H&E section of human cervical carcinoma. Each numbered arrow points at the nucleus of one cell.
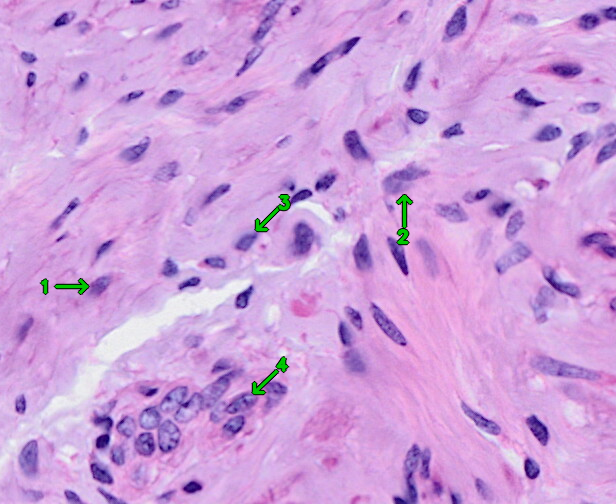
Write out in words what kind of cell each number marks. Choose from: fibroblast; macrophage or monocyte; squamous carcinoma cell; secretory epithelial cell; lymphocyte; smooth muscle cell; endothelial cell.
Cell 1 is a smooth muscle cell. Cells 2 and 3 are fibroblasts. Cell 4 is an endothelial cell.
